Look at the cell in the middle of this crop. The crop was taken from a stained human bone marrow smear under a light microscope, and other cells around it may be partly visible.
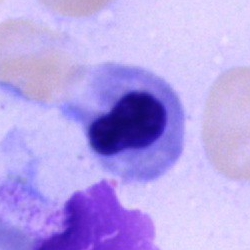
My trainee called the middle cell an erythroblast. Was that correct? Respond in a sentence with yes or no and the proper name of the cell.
Yes, the cell at the midpoint of the crop is an erythroblast.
